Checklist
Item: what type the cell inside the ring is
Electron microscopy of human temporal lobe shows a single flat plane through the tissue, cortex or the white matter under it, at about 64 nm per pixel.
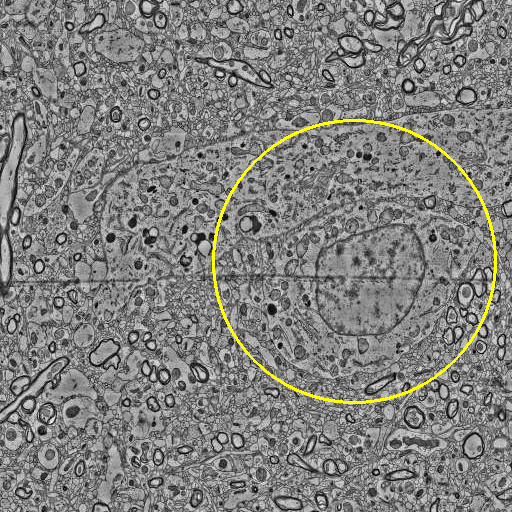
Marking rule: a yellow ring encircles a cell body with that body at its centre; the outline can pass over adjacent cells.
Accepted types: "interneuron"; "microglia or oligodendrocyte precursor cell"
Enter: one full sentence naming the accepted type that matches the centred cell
The entry is that an interneuron lies at the centre of the yellow ring.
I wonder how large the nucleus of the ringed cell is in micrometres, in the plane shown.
The nucleus has a long axis of about 8 micrometres and a short axis of about 7 micrometres in this plane.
